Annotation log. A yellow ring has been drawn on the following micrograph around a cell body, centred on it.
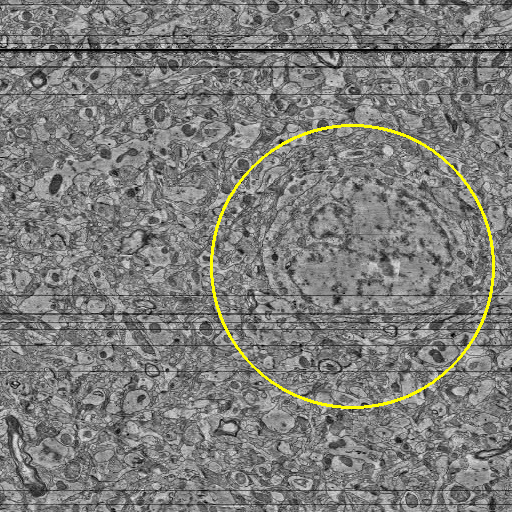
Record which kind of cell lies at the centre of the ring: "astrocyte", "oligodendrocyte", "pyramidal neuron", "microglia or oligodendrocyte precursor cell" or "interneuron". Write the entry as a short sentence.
The cell the ring is centred on is an interneuron.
